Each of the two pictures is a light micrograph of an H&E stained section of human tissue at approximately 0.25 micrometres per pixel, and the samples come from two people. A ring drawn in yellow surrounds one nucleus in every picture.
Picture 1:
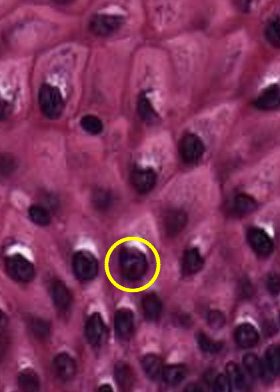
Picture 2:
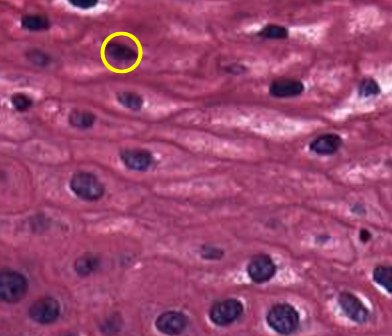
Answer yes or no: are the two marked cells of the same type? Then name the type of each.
Yes, both are squamous epithelial cells.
